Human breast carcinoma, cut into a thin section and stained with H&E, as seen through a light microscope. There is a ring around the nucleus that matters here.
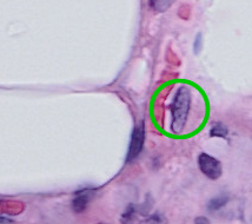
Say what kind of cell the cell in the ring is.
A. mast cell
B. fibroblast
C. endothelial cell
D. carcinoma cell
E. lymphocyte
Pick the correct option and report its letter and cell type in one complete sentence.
Since the cell in the ring is an endothelial cell, the right option is C.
